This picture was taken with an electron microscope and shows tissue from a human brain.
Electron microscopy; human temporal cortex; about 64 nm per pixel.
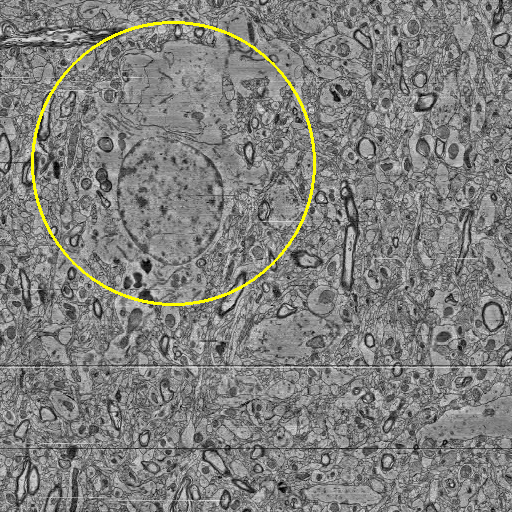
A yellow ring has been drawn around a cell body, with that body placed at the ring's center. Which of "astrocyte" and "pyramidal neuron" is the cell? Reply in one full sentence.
In this picture, an astrocyte is the cell at the center of the yellow ring.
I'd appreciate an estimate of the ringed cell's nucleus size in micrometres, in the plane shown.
Approximately 9 by 7 micrometers in this plane.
